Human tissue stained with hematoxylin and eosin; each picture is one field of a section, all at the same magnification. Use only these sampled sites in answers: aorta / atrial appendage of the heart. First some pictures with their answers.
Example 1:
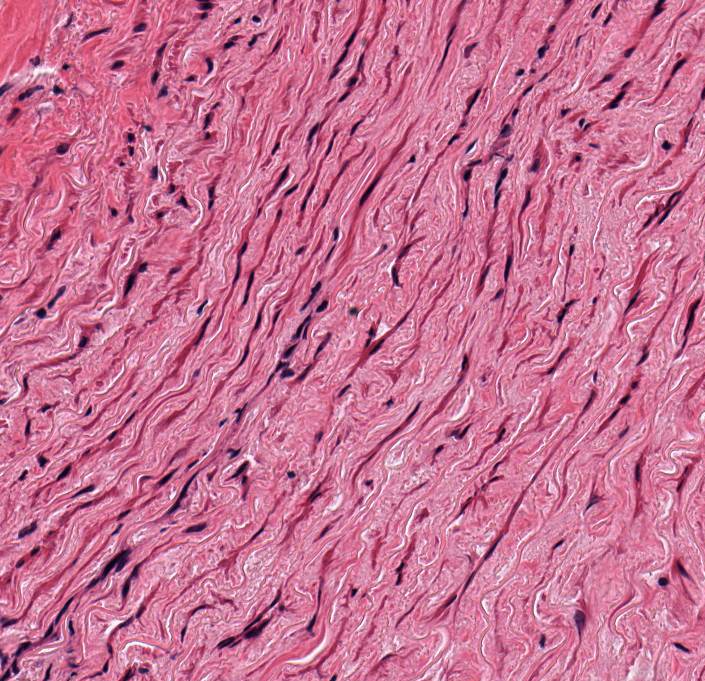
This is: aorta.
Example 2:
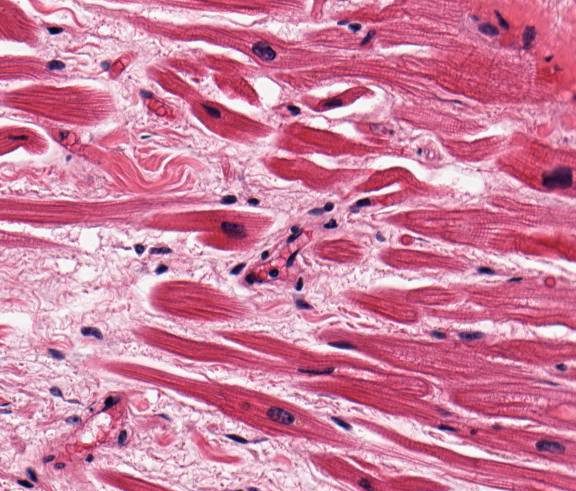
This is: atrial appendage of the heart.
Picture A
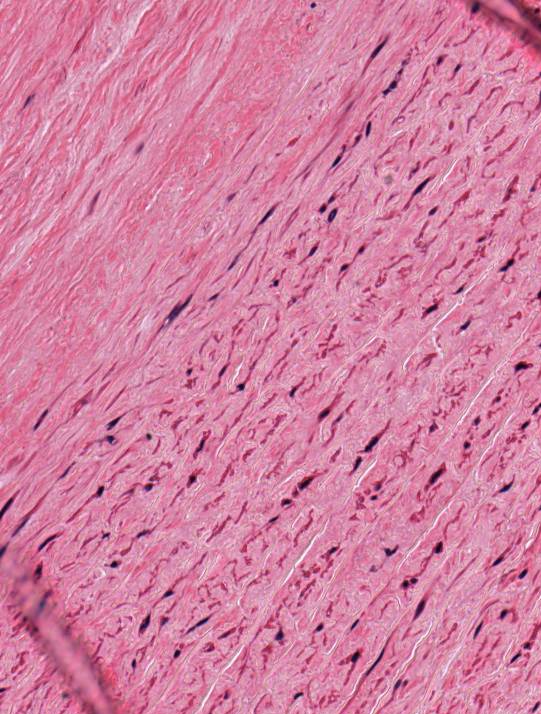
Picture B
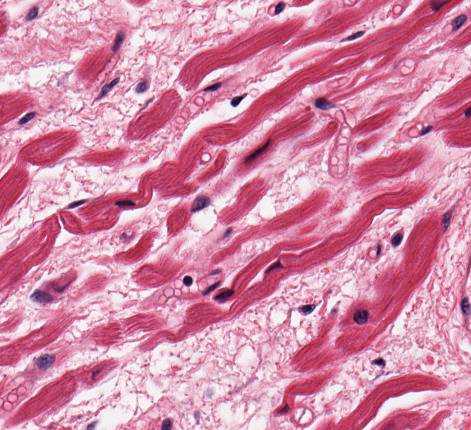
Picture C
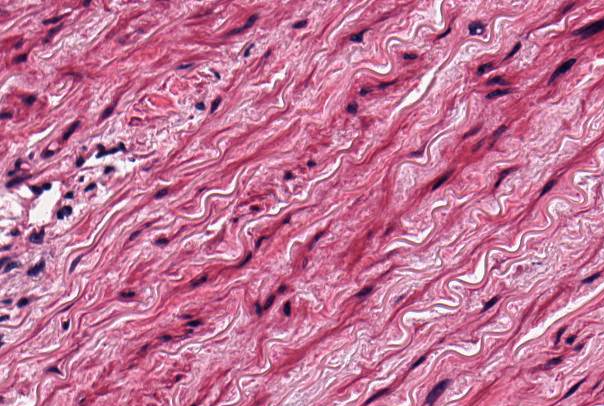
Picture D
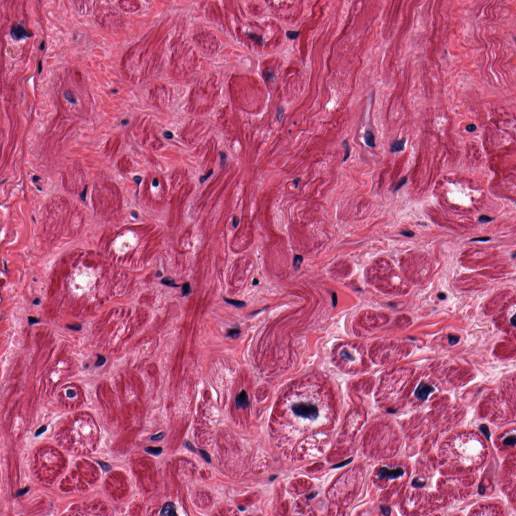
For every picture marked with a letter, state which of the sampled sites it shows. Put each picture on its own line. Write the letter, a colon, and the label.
A: aorta.
B: atrial appendage of the heart.
C: aorta.
D: atrial appendage of the heart.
